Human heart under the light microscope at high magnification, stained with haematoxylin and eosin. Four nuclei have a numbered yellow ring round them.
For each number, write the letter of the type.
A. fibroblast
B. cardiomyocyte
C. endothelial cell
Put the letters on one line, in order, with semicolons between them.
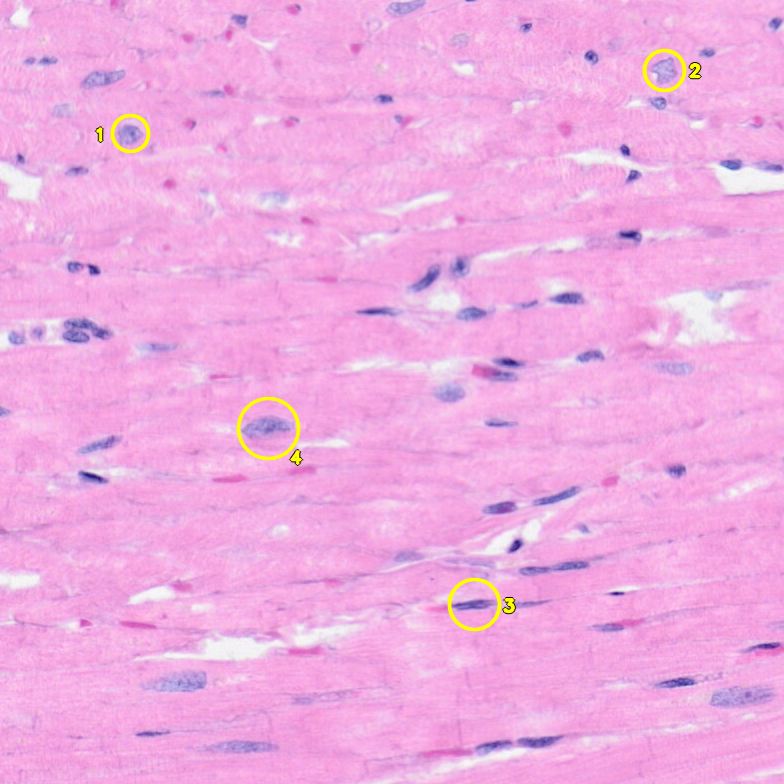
B; B; C; B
